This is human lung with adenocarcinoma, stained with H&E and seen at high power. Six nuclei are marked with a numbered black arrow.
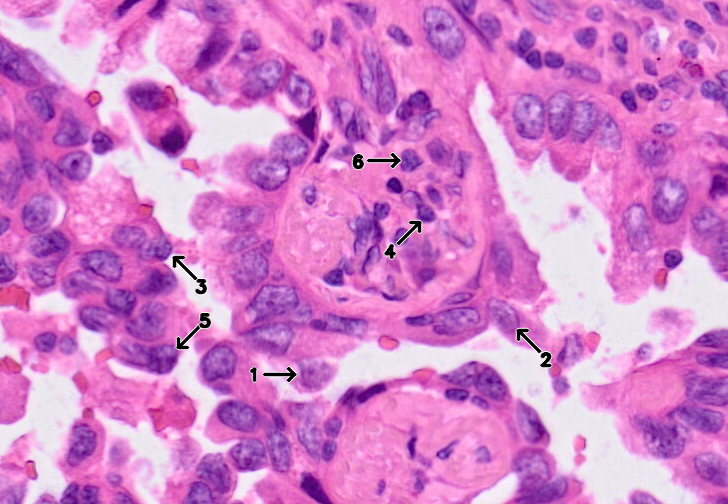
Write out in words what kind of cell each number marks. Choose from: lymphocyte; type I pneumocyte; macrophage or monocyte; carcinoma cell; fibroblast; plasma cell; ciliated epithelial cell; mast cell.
Cells 1, 2, 3 and 5 are carcinoma cells. Cells 4 and 6 are lymphocytes.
